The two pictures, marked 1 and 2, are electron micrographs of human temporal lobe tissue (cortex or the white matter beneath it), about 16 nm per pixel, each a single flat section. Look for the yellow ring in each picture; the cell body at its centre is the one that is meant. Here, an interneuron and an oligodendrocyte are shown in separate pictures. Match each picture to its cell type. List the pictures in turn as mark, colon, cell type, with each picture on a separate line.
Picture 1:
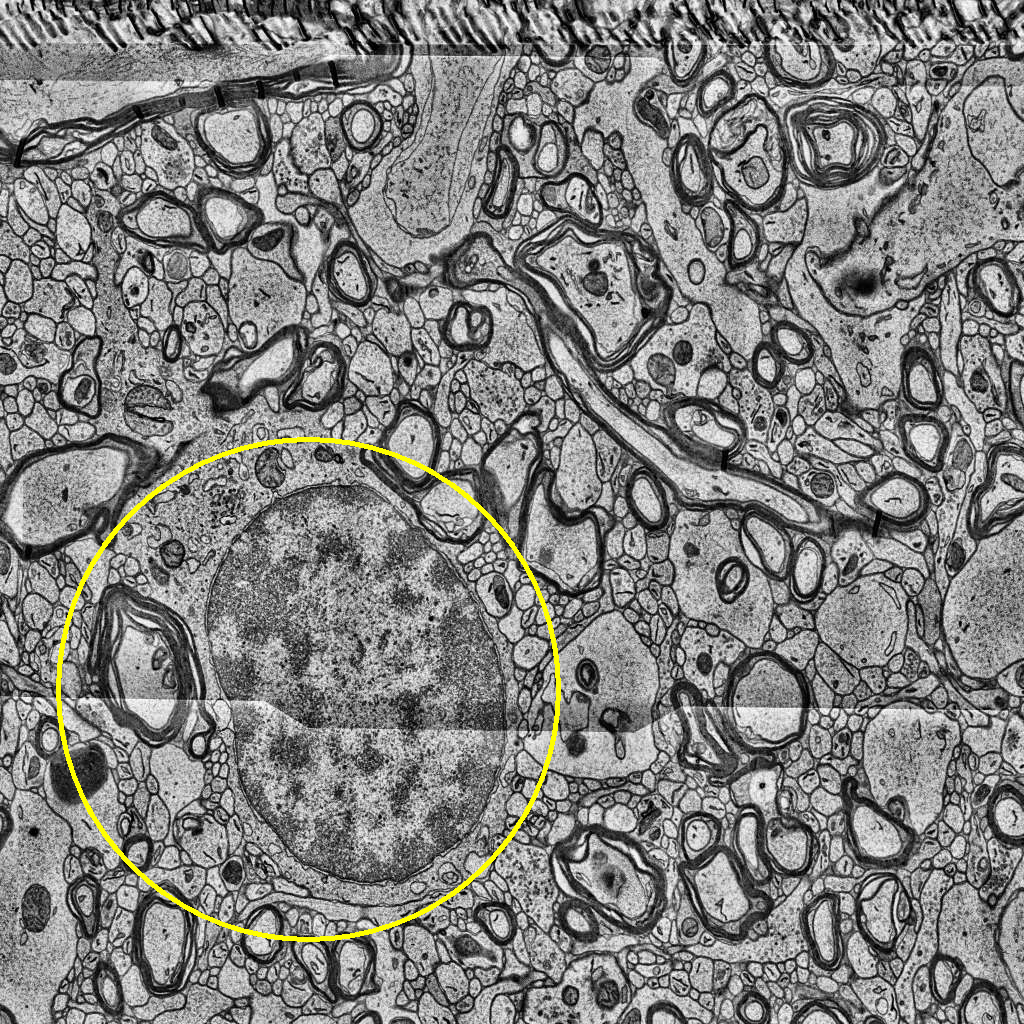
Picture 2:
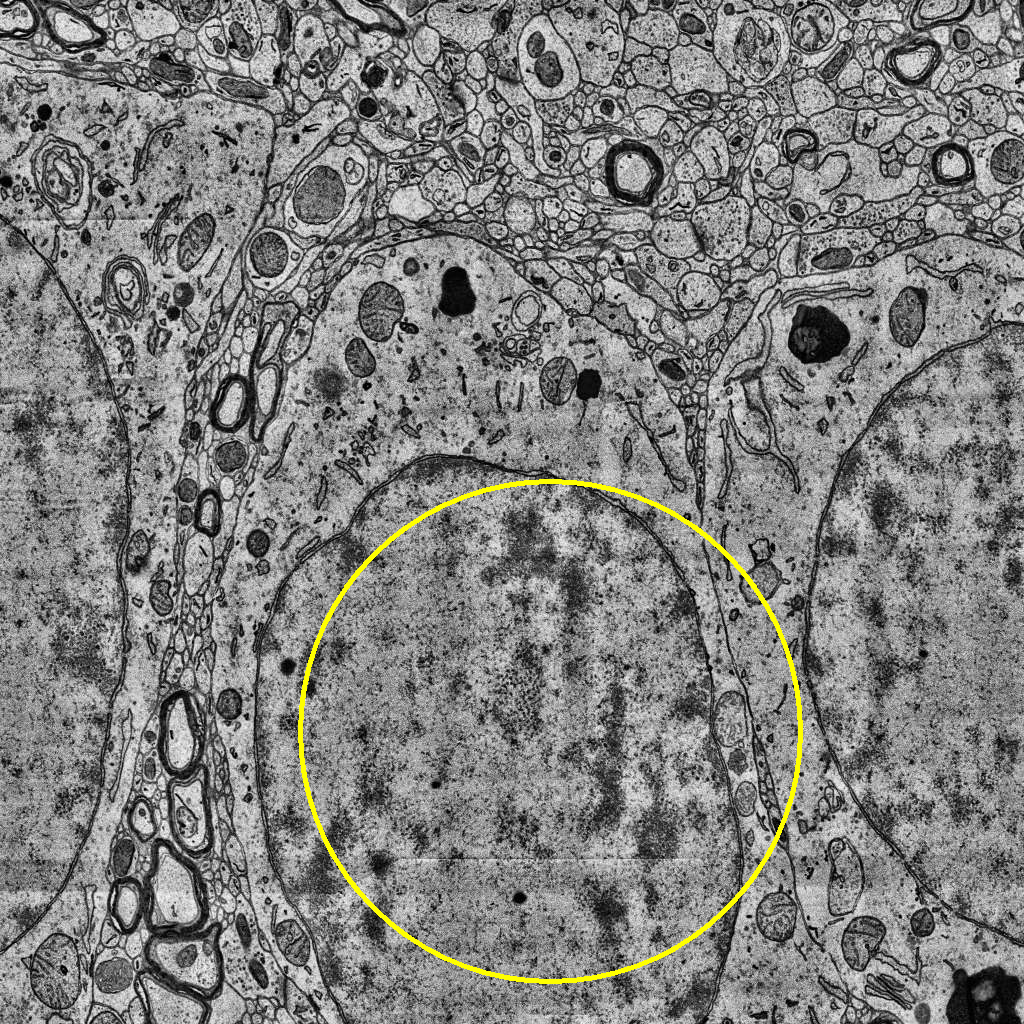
1: oligodendrocyte
2: interneuron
